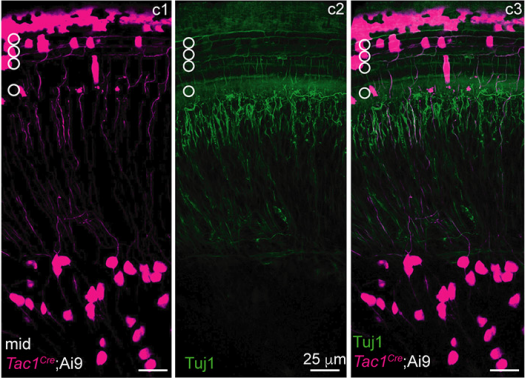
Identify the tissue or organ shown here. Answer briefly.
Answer: spiral ganglion and organ of Corti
